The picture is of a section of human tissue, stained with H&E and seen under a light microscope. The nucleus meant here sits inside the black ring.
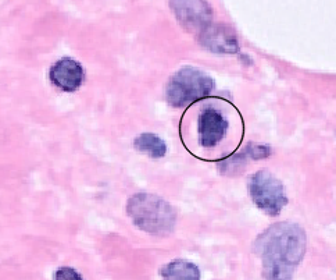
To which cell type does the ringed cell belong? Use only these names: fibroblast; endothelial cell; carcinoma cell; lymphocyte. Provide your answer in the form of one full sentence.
In this field of tissue, the ringed cell is a lymphocyte.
